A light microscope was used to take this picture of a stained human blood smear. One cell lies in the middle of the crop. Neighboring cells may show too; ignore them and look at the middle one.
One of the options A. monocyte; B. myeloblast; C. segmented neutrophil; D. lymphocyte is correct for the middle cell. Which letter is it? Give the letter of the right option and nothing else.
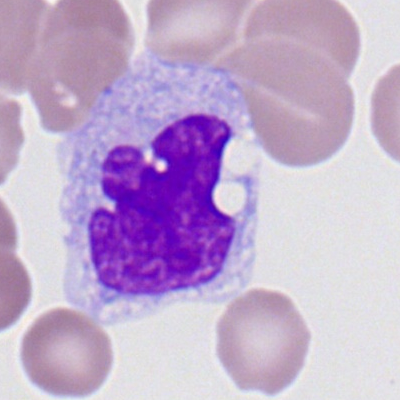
A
